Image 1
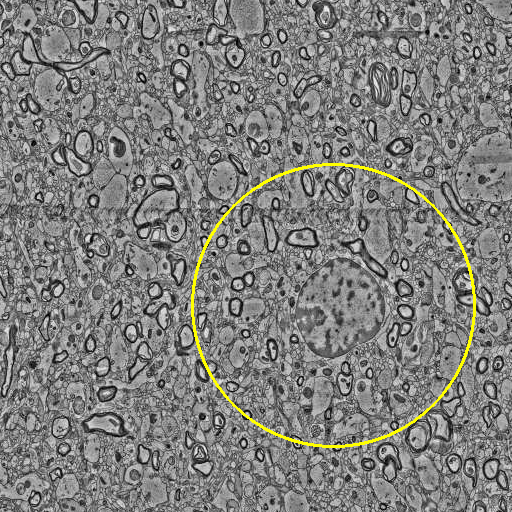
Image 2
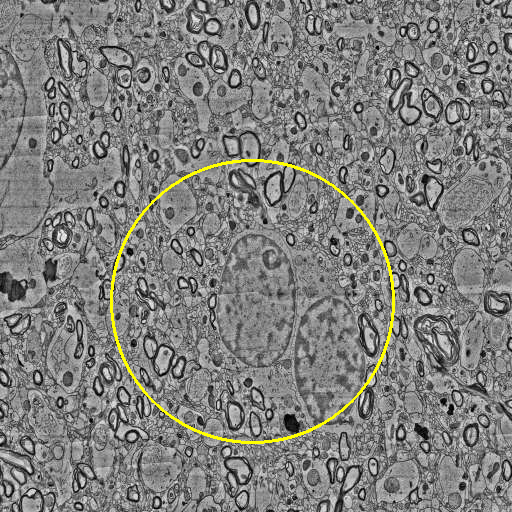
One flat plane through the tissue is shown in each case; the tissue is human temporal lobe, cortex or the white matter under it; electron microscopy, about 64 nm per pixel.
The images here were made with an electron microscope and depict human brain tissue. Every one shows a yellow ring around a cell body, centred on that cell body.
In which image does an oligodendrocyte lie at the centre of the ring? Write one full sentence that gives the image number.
My answer is image 2, where the asked-for cell sits at the centre of the ring.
